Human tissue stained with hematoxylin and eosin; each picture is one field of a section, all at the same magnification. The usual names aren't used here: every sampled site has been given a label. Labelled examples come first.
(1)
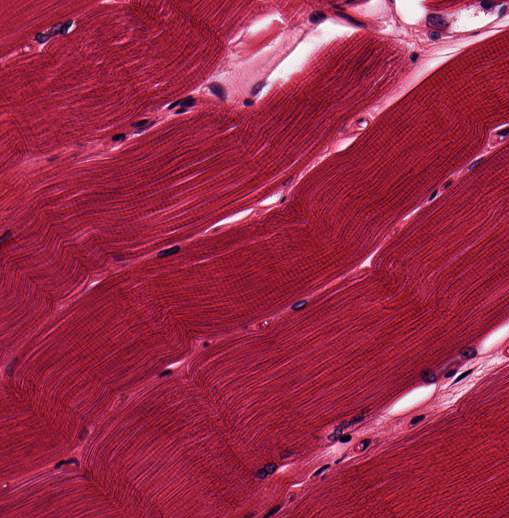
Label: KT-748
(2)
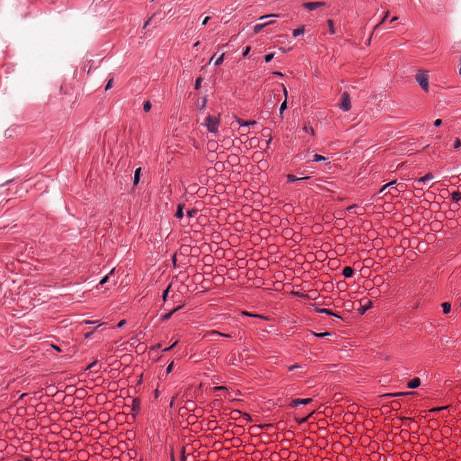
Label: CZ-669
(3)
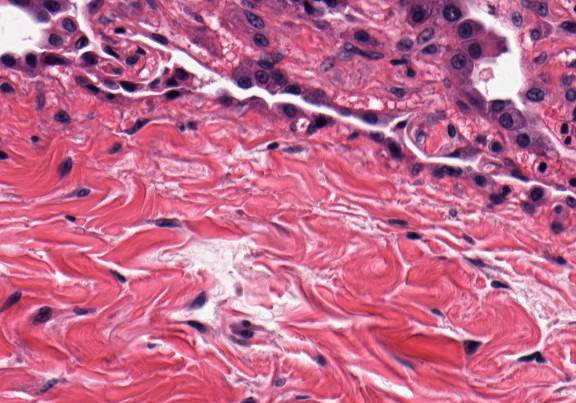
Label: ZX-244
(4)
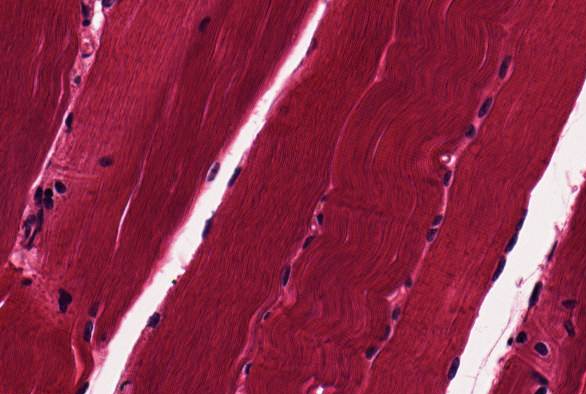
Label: KT-748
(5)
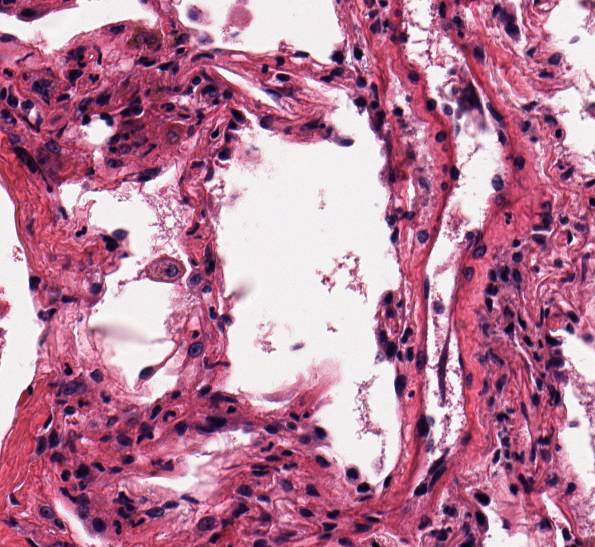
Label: ZX-244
